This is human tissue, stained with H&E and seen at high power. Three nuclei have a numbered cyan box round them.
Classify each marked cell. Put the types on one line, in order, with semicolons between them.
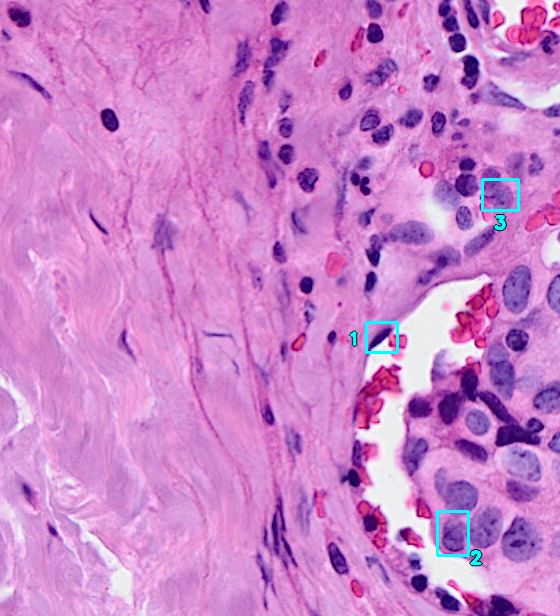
endothelial cell; carcinoma cell; endothelial cell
